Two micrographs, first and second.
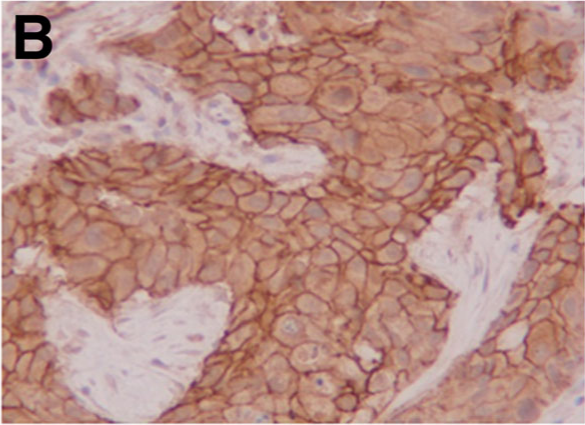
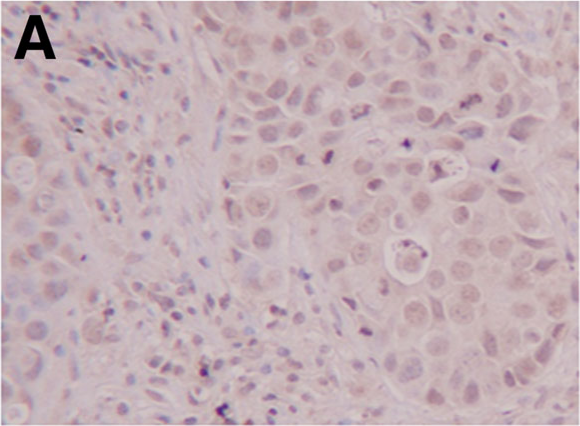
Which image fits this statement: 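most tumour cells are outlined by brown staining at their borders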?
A: The first image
